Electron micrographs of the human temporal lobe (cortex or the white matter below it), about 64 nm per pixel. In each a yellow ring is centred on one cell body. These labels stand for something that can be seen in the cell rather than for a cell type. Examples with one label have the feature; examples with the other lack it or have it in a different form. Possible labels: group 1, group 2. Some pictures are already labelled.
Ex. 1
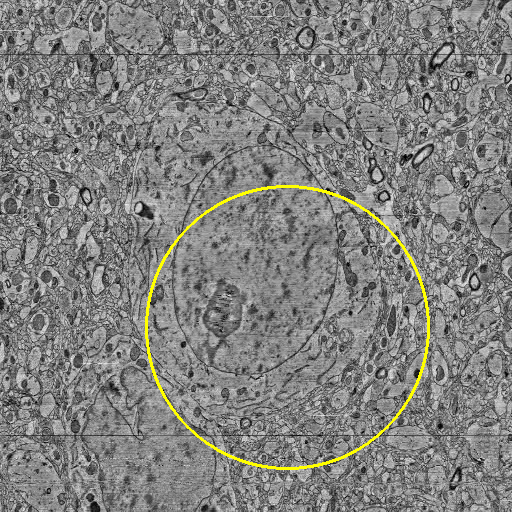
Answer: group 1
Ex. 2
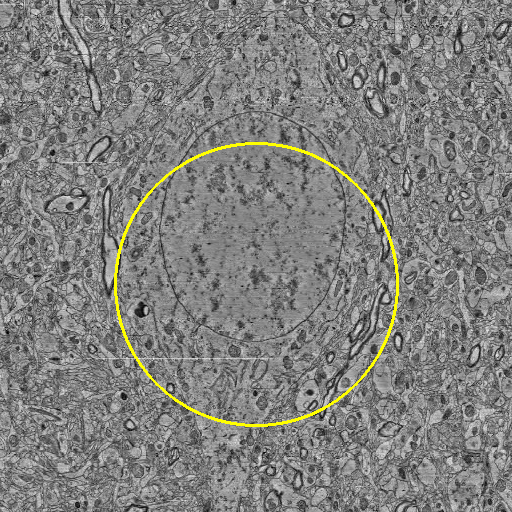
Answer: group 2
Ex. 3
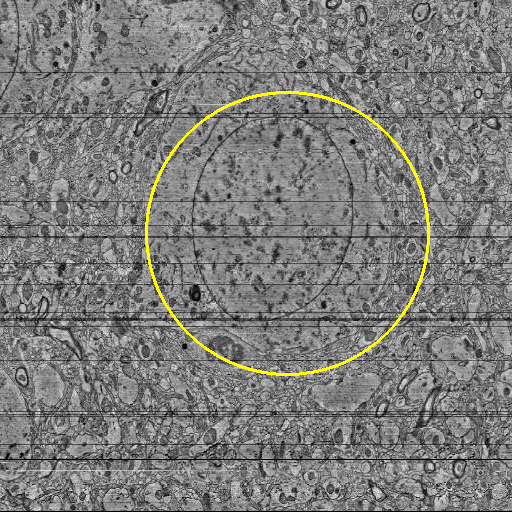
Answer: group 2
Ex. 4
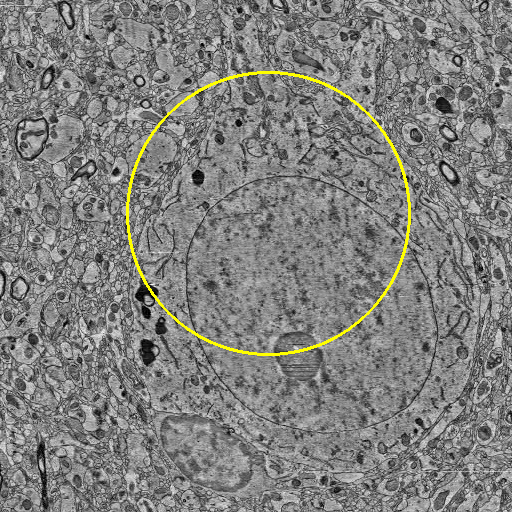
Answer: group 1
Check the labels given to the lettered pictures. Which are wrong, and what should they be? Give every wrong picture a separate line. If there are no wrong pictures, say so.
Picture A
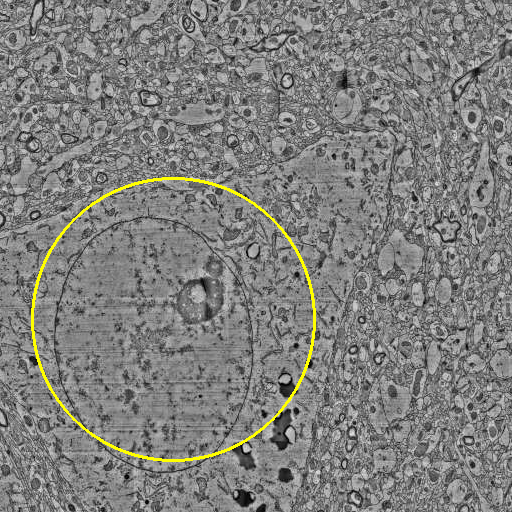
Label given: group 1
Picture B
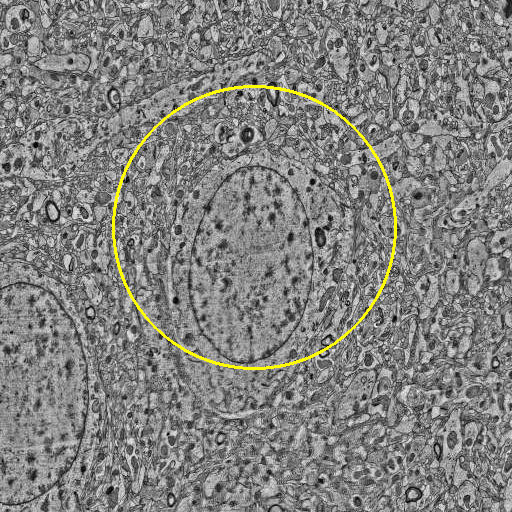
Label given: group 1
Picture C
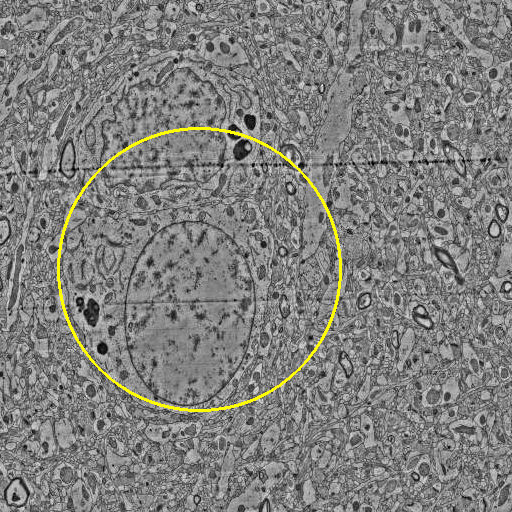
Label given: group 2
B: not group 1 but group 2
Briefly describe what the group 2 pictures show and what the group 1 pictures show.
group 2: no nucleolus seen; group 1: nucleolus seen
